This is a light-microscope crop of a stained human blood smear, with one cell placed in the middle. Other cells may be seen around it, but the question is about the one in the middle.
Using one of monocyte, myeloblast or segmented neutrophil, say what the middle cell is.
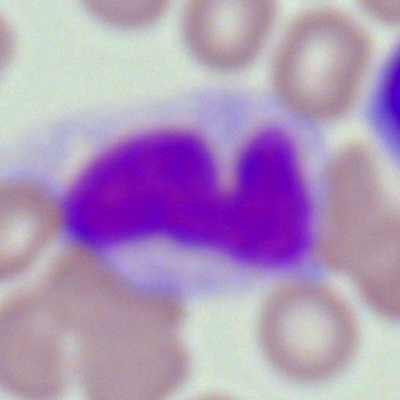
monocyte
